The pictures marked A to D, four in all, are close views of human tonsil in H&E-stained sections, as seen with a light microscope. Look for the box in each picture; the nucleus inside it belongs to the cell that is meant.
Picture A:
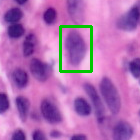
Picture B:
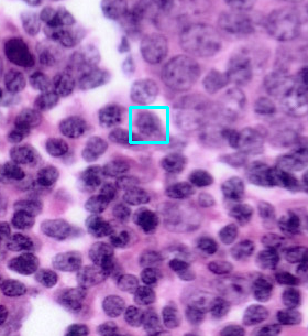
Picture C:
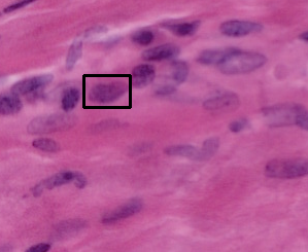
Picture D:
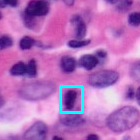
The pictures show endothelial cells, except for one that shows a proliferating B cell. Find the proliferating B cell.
B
